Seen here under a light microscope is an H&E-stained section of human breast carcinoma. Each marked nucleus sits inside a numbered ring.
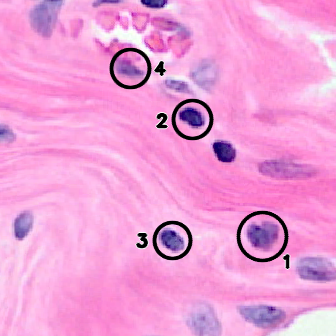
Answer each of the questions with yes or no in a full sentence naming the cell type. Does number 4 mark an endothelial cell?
Yes, the cell bearing the number 4 is an endothelial cell.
